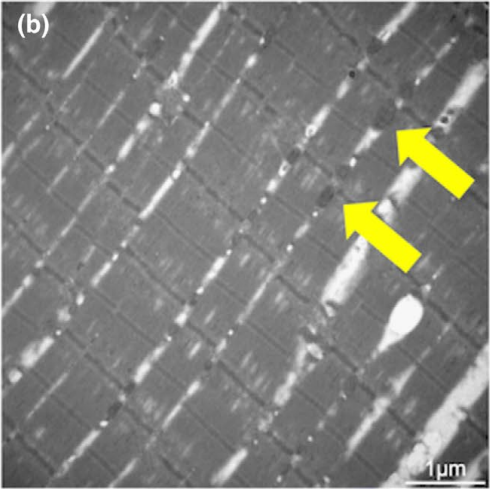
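This is skeletal muscle in a longitudinal section, with parallel myofibrils crossed by regularly spaced dark bands running diagonally across the field. Between the fibrils run pale clefts and elongated pale spaces. Small dark oval bodies, mitochondria, lie in the spaces between fibrils, lined up near the dark cross bands. The banding is repeated regularly from fibril to fibril, showing orderly organization of the contractile apparatus.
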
